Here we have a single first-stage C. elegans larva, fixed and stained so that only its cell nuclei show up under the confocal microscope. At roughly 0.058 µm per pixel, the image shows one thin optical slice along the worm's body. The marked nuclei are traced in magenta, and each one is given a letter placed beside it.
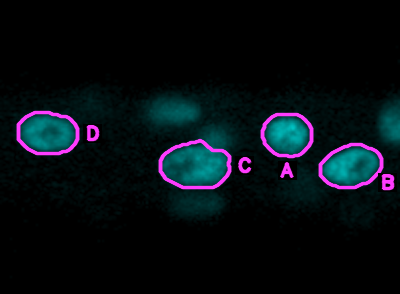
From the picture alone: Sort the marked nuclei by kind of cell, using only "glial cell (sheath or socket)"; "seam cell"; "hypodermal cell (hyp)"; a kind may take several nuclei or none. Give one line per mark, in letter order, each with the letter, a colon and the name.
A: seam cell
B: hypodermal cell (hyp)
C: hypodermal cell (hyp)
D: seam cell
